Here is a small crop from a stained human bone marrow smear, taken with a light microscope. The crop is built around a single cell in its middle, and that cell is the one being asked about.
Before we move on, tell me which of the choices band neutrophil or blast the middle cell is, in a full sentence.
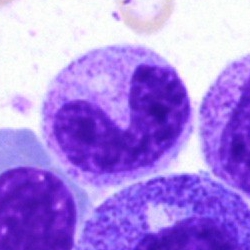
In the center of this field lies a band neutrophil.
